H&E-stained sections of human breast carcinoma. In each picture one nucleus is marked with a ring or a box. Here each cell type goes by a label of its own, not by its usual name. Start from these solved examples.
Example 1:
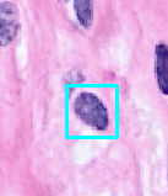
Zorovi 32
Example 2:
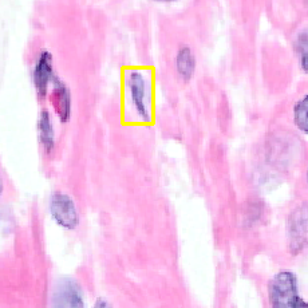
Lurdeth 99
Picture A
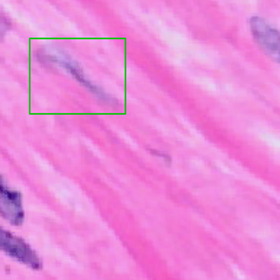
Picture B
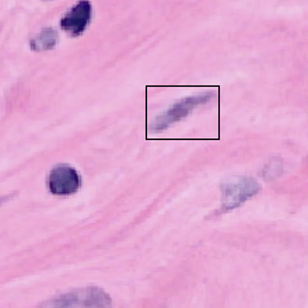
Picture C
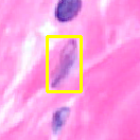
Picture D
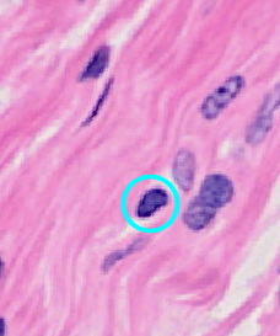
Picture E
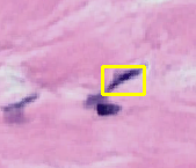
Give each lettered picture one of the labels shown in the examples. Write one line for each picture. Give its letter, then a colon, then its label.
A: Lurdeth 99
B: Lurdeth 99
C: Lurdeth 99
D: Zorovi 32
E: Lurdeth 99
